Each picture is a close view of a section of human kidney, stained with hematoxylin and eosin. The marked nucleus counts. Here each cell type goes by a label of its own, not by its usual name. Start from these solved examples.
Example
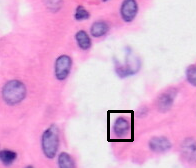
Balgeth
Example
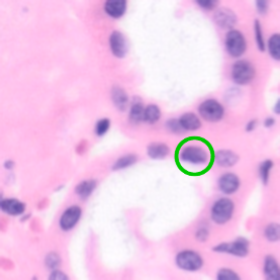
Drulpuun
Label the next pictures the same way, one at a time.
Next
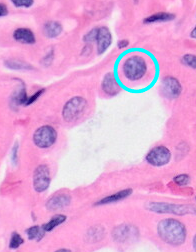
Balgeth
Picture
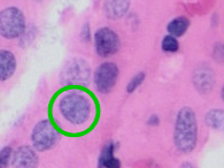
Drulpuun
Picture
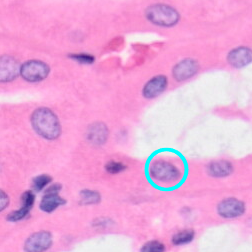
Balgeth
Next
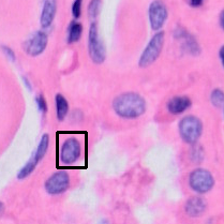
Balgeth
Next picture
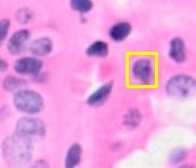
Balgeth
